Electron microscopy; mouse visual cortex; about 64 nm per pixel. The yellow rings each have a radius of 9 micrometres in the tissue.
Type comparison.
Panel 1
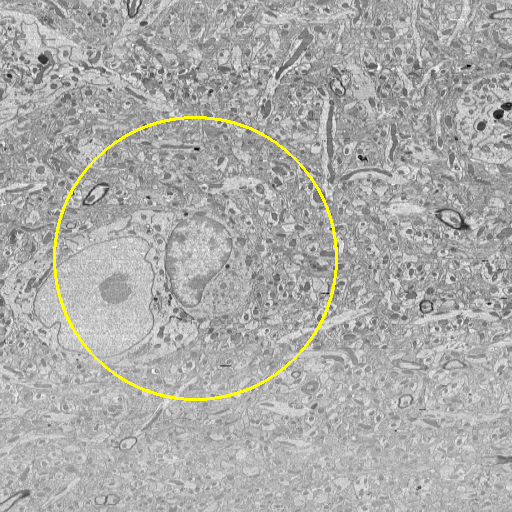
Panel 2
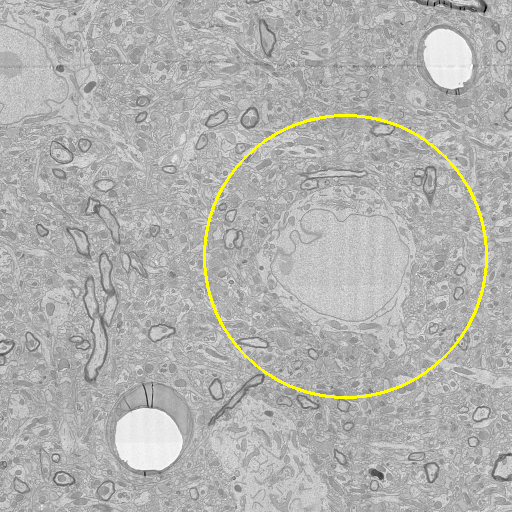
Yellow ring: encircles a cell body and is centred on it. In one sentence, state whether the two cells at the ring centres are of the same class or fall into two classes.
In these panels, the two cells at the ring centres fall into two classes.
